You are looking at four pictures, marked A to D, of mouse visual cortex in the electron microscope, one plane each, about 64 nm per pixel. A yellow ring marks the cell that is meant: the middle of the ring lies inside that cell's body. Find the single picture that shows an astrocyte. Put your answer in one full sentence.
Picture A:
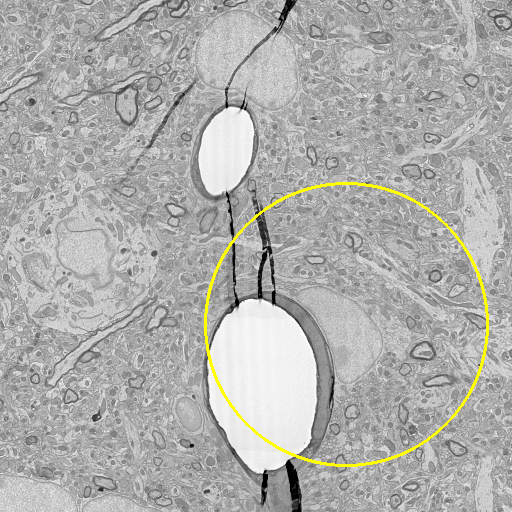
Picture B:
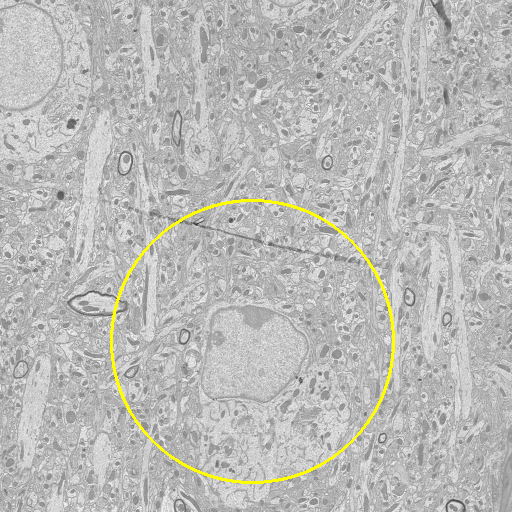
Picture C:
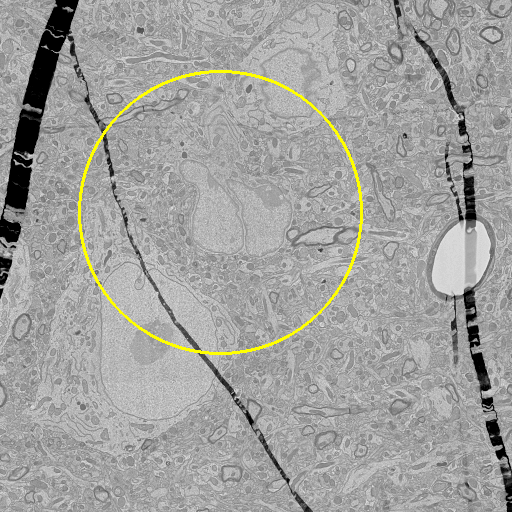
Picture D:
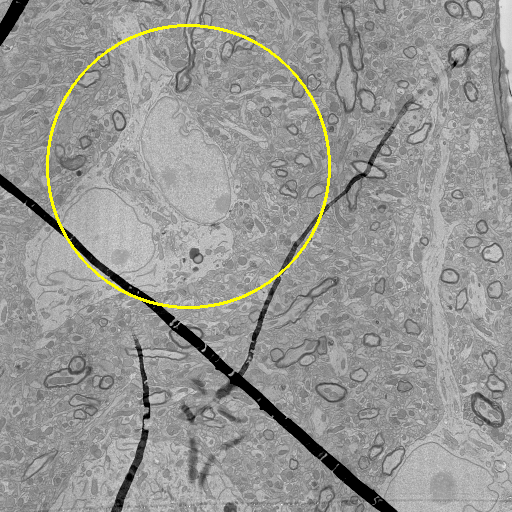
Picture A is the one that shows the astrocyte.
